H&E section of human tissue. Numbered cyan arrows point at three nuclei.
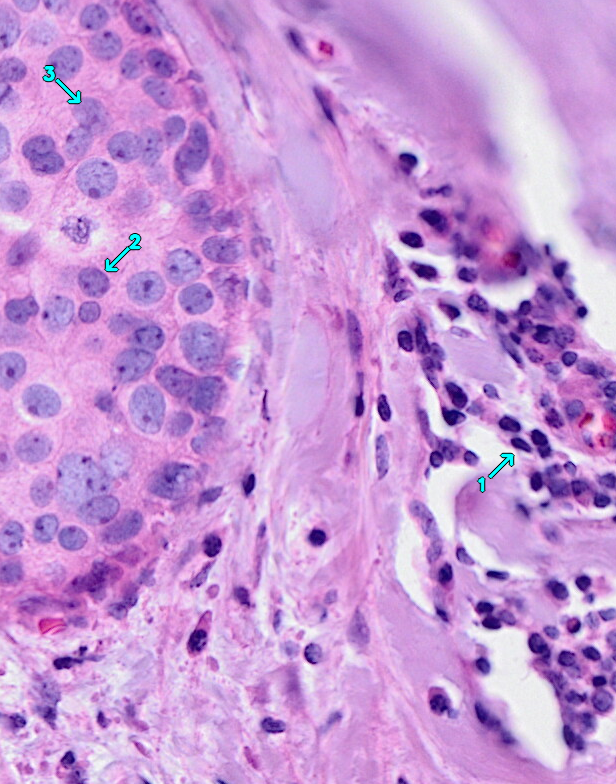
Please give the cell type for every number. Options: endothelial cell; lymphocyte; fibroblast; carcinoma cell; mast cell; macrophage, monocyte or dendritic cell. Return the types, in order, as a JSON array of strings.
["lymphocyte", "carcinoma cell", "carcinoma cell"]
